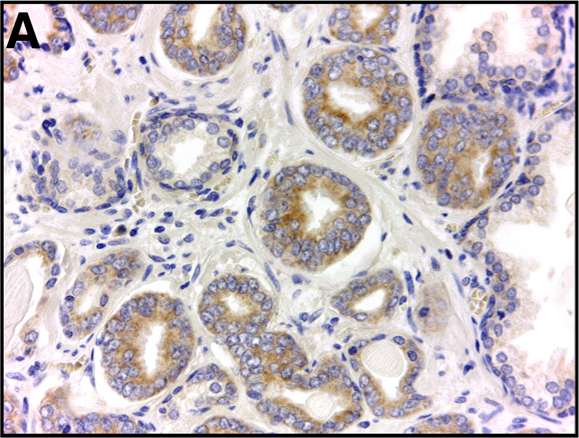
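Round to oval glands with open lumens sit in a pale fibrous stroma containing scattered spindle-shaped cells with blue nuclei. The gland-lining epithelial cells have round blue-grey nuclei and a fine, granular brown stain in their cytoplasm, strongest toward the lumen.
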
